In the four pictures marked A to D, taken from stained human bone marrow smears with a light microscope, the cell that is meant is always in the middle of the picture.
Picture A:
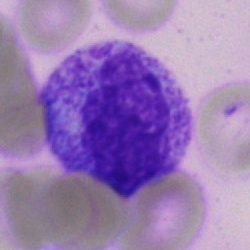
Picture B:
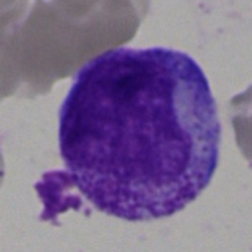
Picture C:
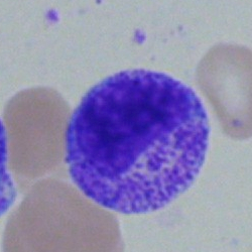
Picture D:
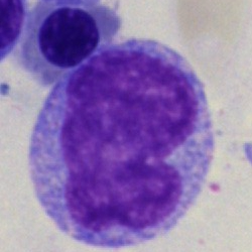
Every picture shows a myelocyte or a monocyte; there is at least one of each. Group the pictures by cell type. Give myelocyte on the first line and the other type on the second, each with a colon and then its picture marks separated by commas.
myelocyte: A, B, C
monocyte: D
